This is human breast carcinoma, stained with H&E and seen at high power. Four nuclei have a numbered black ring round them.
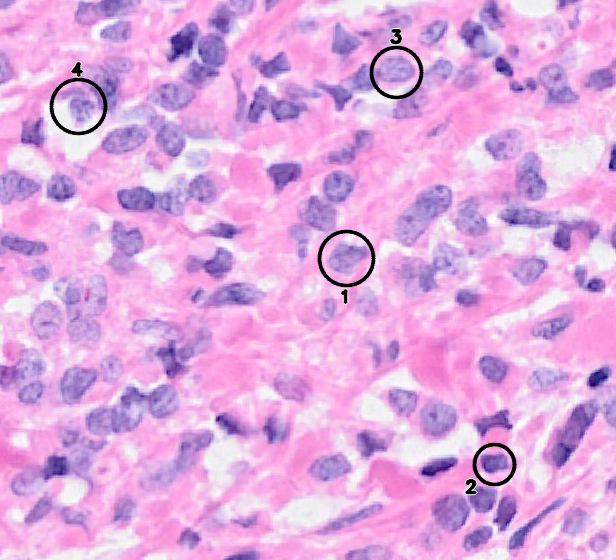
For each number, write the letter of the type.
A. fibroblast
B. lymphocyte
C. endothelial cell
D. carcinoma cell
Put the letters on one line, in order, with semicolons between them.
D; B; D; D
